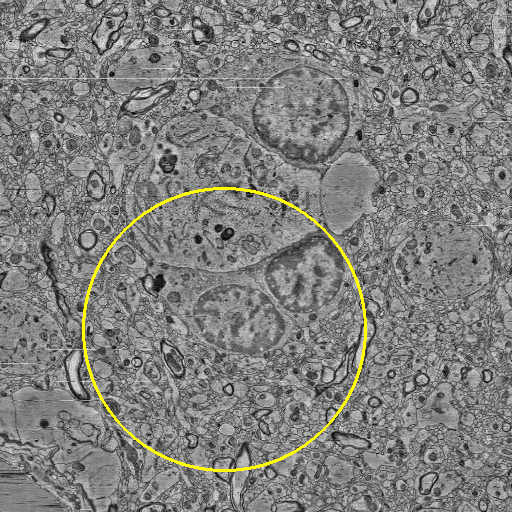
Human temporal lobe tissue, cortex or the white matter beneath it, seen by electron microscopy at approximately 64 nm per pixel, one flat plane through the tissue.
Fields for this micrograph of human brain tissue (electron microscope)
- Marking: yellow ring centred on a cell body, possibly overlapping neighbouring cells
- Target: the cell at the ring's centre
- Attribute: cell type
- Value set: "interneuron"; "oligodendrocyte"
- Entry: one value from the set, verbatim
oligodendrocyte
